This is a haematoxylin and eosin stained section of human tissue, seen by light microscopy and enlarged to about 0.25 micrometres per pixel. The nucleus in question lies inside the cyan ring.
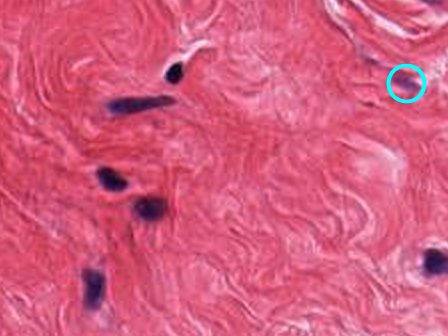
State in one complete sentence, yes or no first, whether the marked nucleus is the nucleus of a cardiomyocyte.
No, the marked nucleus belongs to a supporting cell of connective tissue, a vessel or the immune system, not to a cardiomyocyte.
